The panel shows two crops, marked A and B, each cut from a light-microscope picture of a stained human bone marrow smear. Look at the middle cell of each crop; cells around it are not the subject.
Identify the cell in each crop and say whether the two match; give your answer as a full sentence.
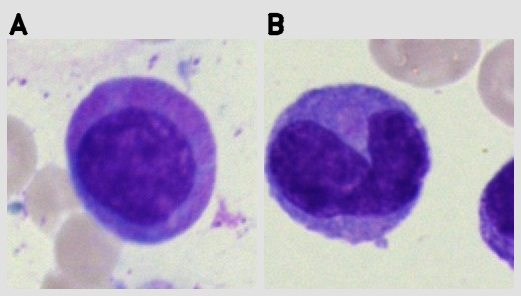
No, the middle of crop A holds a promyelocyte, and the middle of crop B holds a monocyte.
